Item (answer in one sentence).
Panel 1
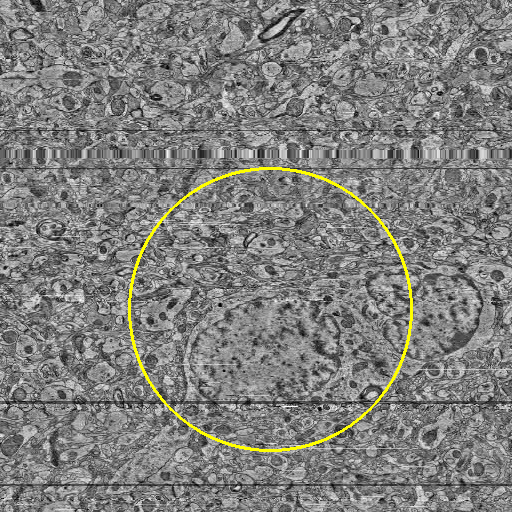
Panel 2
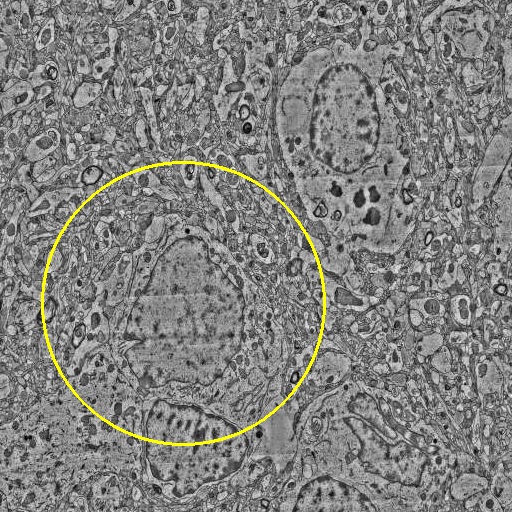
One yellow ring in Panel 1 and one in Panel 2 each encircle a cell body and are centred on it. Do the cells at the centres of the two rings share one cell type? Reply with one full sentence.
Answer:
Yes, Panel 1 and Panel 2 show cells of one type at the centres of their rings.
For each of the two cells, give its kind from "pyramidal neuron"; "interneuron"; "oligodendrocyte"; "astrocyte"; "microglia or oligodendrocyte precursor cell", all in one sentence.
The first and the second cell are each an interneuron.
